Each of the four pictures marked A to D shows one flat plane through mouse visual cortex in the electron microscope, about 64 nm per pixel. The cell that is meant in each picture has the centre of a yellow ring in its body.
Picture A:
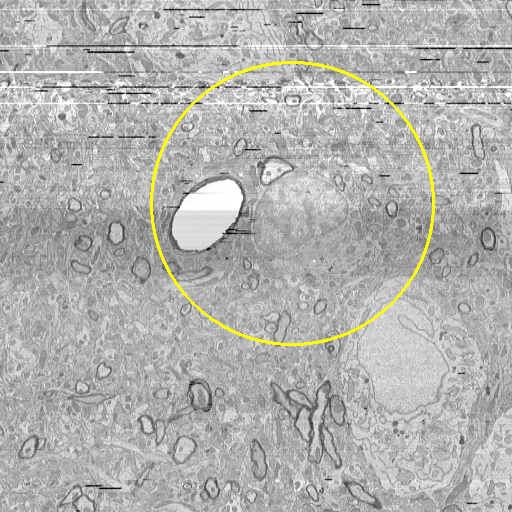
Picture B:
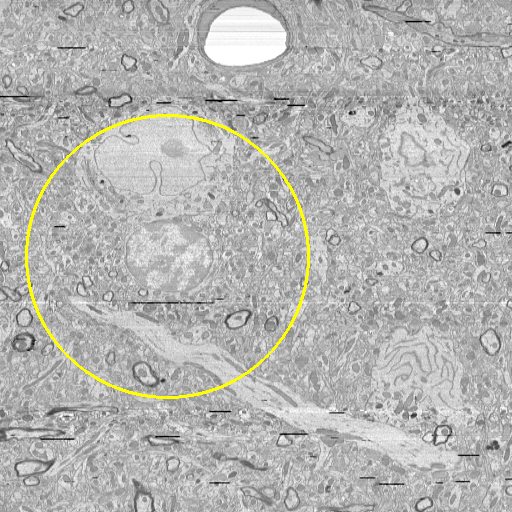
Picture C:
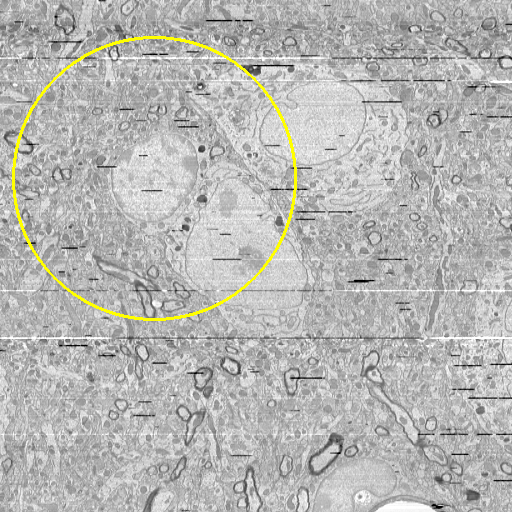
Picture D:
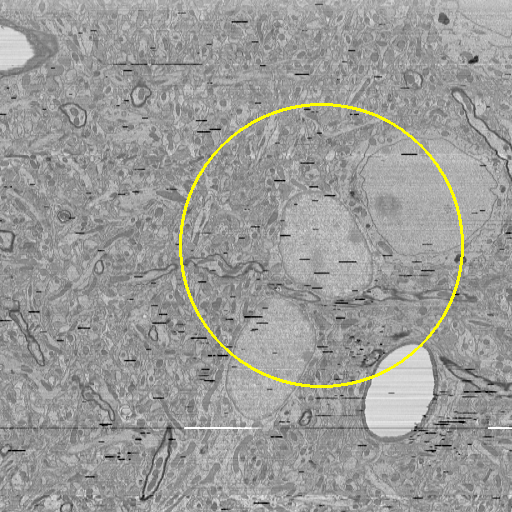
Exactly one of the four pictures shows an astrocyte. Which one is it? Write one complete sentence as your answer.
Picture D is the one that shows the astrocyte.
